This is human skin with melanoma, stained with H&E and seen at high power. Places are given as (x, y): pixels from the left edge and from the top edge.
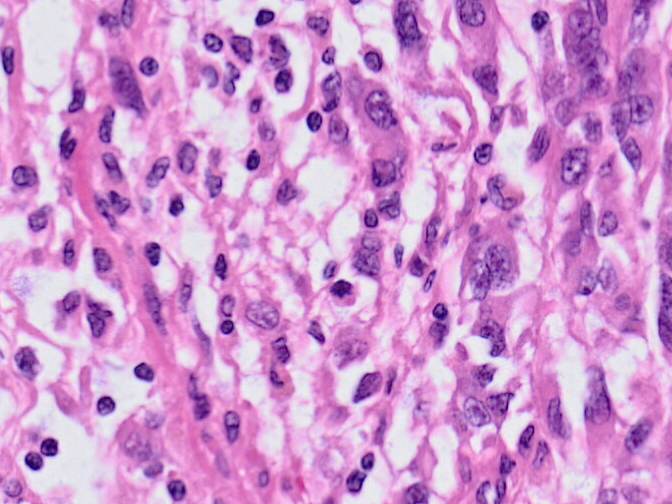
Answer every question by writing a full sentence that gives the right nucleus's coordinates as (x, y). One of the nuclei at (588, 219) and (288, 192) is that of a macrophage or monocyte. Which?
Which one belongs to a macrophage or monocyte? The nucleus at (288, 192) does.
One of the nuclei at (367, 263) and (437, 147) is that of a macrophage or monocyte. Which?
Of the two, the nucleus at (437, 147) is the one contained in a macrophage or monocyte.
